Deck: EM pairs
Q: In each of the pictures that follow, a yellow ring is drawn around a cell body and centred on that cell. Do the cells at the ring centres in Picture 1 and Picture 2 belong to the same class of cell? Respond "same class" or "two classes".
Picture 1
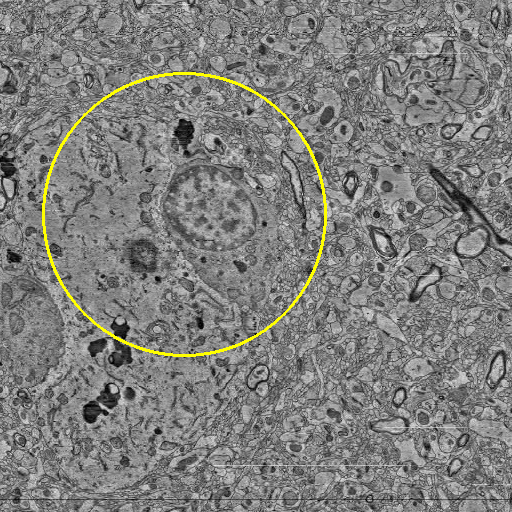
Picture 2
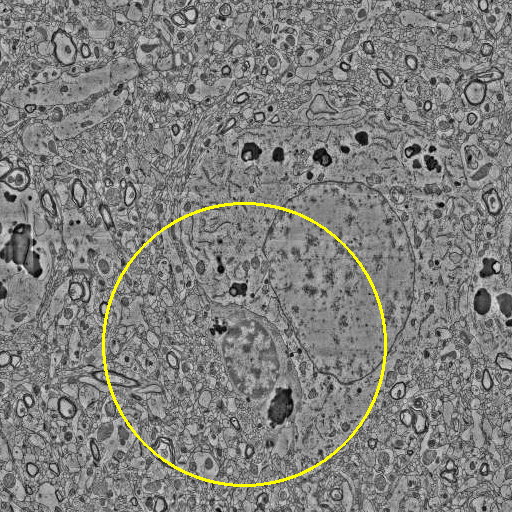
same class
